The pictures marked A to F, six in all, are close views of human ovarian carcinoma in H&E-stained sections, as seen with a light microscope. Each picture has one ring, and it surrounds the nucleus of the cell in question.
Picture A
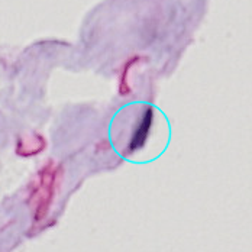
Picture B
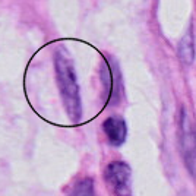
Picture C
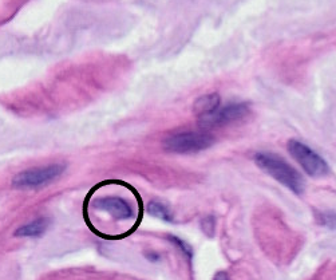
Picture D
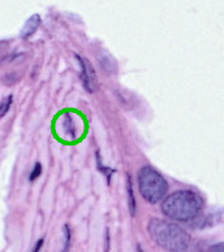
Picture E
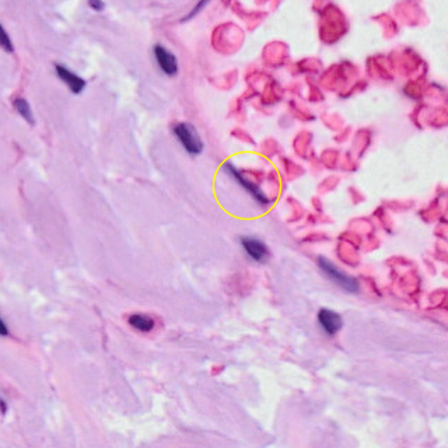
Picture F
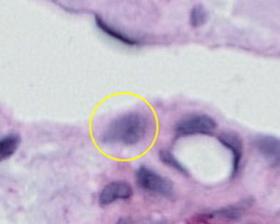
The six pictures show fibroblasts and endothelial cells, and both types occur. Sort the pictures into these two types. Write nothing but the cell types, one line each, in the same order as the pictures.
endothelial cell
fibroblast
endothelial cell
fibroblast
endothelial cell
endothelial cell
